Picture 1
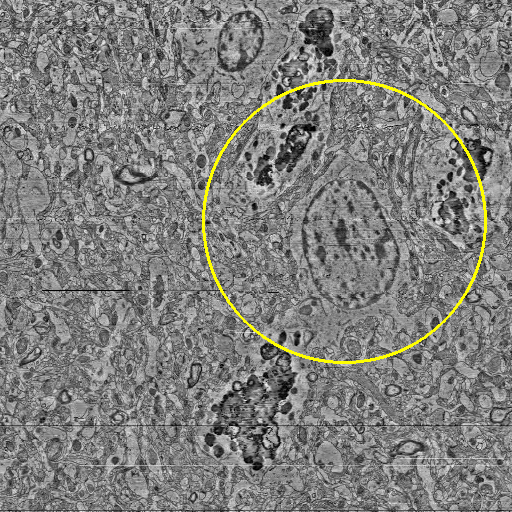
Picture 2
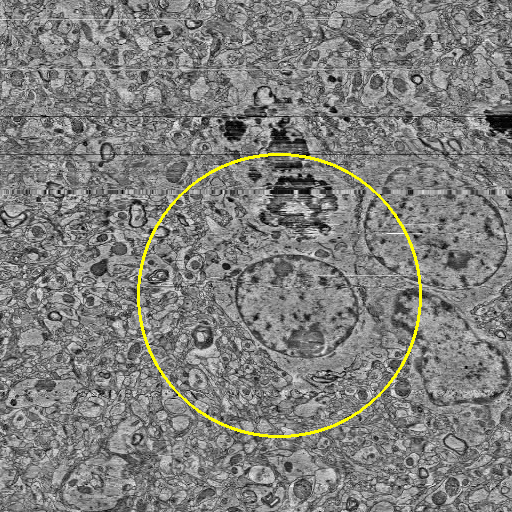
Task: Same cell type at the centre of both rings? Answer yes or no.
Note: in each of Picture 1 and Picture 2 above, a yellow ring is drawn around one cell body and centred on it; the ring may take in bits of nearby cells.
yes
